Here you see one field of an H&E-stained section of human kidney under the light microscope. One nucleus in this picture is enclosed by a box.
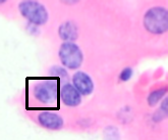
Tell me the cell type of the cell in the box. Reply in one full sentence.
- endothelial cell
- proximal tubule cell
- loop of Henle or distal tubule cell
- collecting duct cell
Placed in its cell category, the cell in the box is a collecting duct cell.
